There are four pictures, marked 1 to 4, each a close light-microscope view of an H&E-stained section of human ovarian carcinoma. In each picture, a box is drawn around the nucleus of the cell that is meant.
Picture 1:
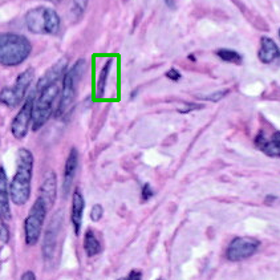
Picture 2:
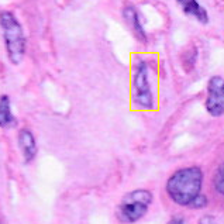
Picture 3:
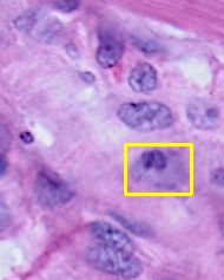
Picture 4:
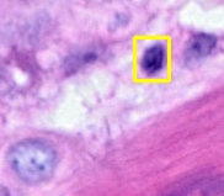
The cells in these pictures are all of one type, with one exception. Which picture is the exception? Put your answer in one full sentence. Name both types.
Picture 4 differs, because its cell is a lymphocyte and the rest are fibroblasts.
